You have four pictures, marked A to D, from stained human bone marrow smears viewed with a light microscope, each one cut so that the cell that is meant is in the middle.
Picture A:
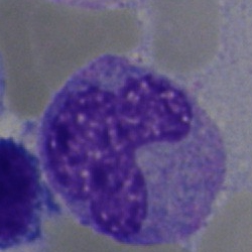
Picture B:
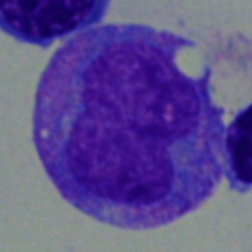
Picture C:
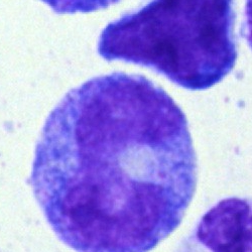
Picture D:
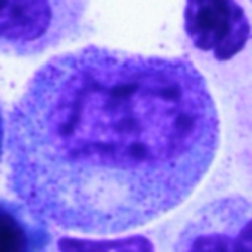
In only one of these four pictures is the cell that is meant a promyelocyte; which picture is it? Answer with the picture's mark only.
D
